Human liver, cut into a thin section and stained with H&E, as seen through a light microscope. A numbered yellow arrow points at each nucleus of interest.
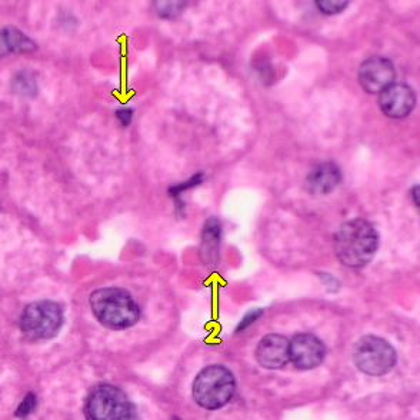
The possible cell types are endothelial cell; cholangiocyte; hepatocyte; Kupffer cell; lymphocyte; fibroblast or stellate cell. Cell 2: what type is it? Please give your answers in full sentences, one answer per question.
The cell indicated with the number 2 is classed as a Kupffer cell.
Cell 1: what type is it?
Here the cell numbered 1 is a fibroblast or stellate cell.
